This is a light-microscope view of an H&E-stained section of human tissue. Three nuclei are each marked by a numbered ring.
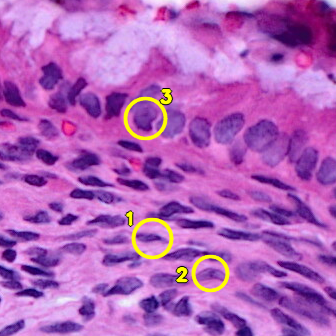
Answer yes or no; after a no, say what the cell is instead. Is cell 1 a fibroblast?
Yes.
